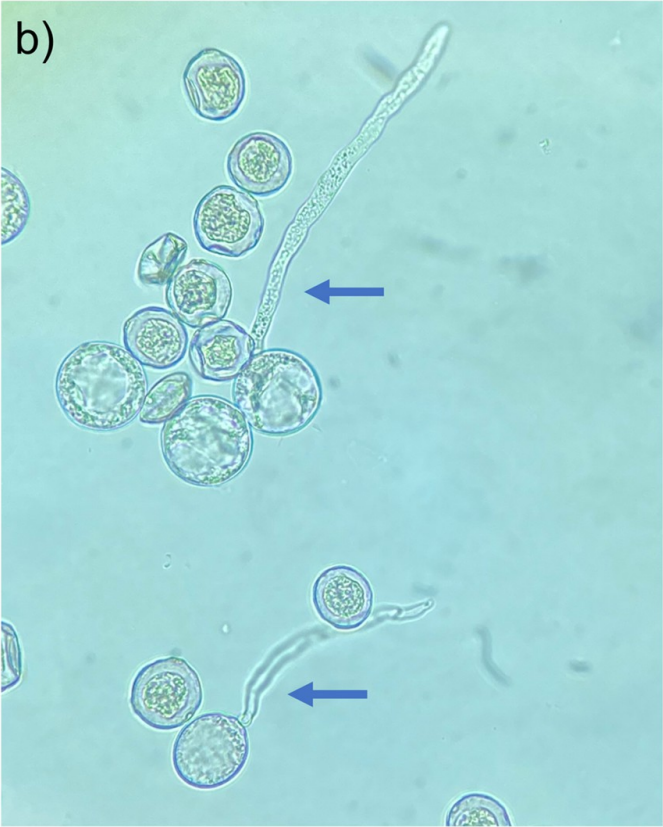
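The grains are round with a clear wall, and many contain finely granular contents, while some larger ones appear swollen and clear. From two of the grains a long, slender pollen tube grows out, one reaching far across the field with granular contents inside it, the other shorter and curved. The tubes emerge from a single point on the grain wall, marking grains that have germinated, while the others show no outgrowth.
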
